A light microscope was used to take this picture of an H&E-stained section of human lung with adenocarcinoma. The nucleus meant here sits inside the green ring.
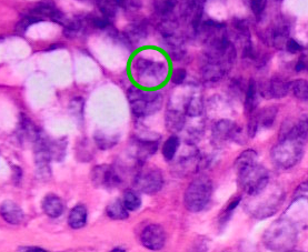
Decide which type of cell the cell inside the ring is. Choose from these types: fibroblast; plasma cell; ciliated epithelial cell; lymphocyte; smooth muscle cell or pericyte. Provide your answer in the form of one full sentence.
In this preparation, the cell inside the ring is a ciliated epithelial cell.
